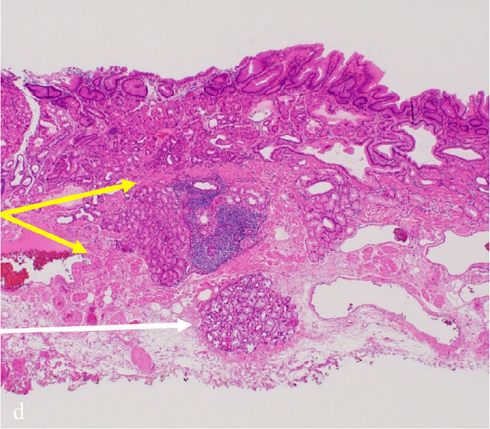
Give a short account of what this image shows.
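This is a section of esophageal wall whose surface is lined by columnar epithelium forming crypts and glands, stained purple with hematoxylin and pink with eosin. Beneath the glandular mucosa run two separate pink bands of muscularis mucosae, with a dense purple aggregate of lymphocytes and glandular tissue lying near them. Deeper in loose pale connective tissue lies a rounded lobule of pale-staining acini, an intrinsic esophageal gland. Thin-walled vessels and loose stroma fill the lower part of the section.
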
